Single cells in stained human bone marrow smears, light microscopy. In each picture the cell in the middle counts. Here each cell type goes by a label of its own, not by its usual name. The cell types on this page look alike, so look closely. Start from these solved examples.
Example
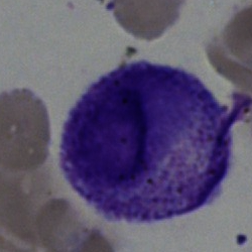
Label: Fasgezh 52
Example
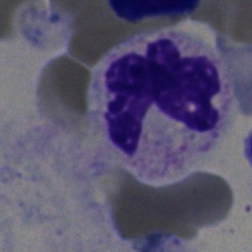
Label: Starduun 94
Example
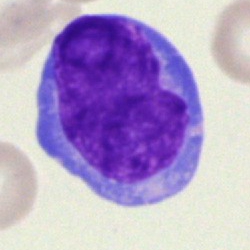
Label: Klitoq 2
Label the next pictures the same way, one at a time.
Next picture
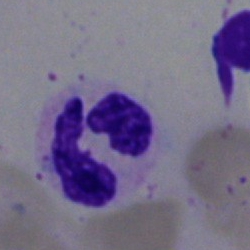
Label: Starduun 94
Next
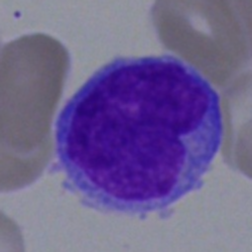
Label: Klitoq 2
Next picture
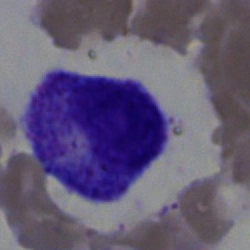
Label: Fasgezh 52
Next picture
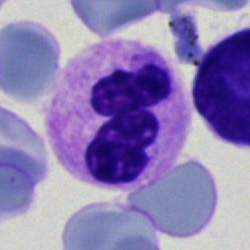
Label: Starduun 94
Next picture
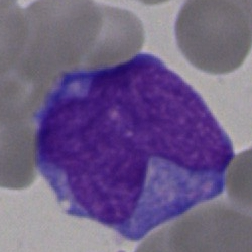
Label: Klitoq 2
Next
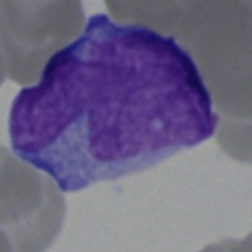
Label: Klitoq 2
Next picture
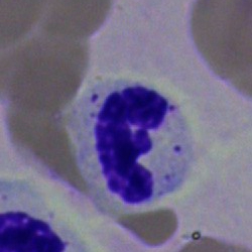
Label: Starduun 94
